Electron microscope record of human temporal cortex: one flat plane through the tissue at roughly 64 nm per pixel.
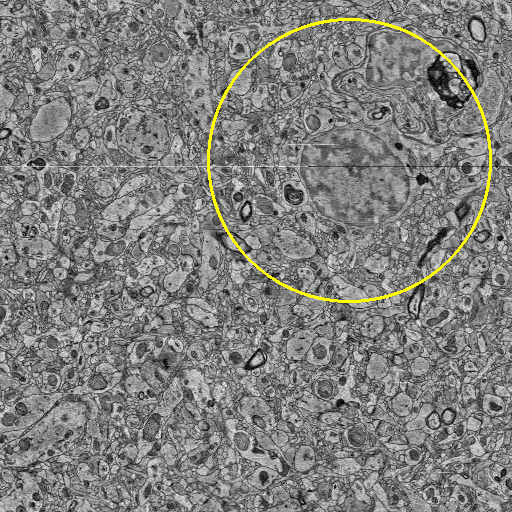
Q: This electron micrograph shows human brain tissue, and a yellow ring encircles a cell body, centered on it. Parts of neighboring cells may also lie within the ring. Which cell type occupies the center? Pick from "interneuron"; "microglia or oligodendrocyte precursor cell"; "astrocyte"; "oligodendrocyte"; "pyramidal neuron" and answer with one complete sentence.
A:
What sits at the ring's center in this micrograph is an oligodendrocyte, among those choices.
